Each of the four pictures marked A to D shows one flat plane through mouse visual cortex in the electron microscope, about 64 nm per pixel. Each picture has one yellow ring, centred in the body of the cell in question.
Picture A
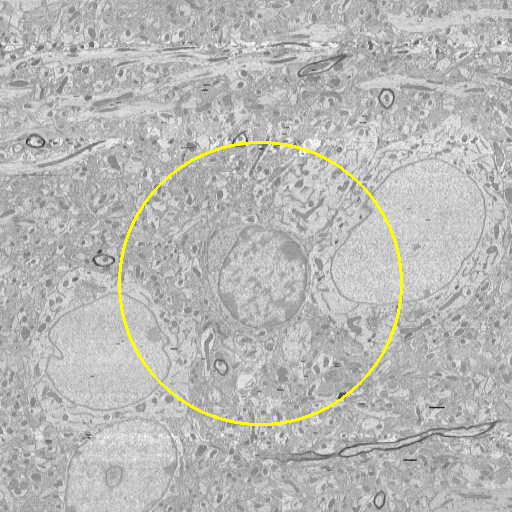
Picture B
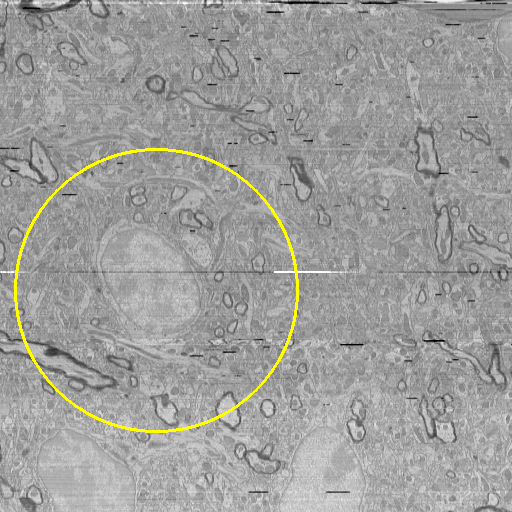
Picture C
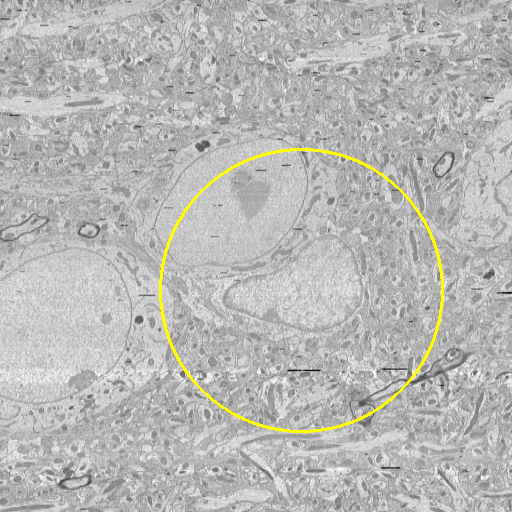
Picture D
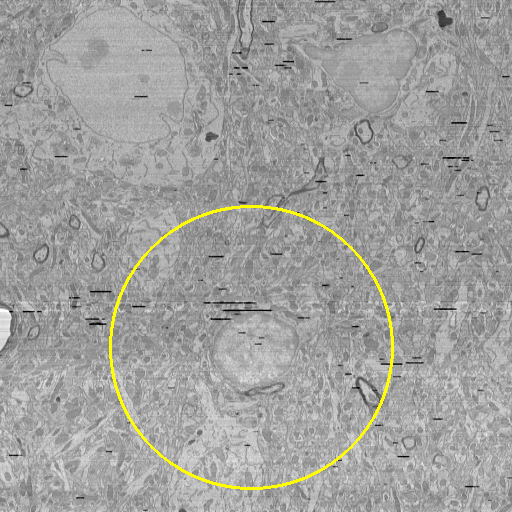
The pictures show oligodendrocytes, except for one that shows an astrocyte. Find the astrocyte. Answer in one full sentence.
The cell in picture C is the astrocyte.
